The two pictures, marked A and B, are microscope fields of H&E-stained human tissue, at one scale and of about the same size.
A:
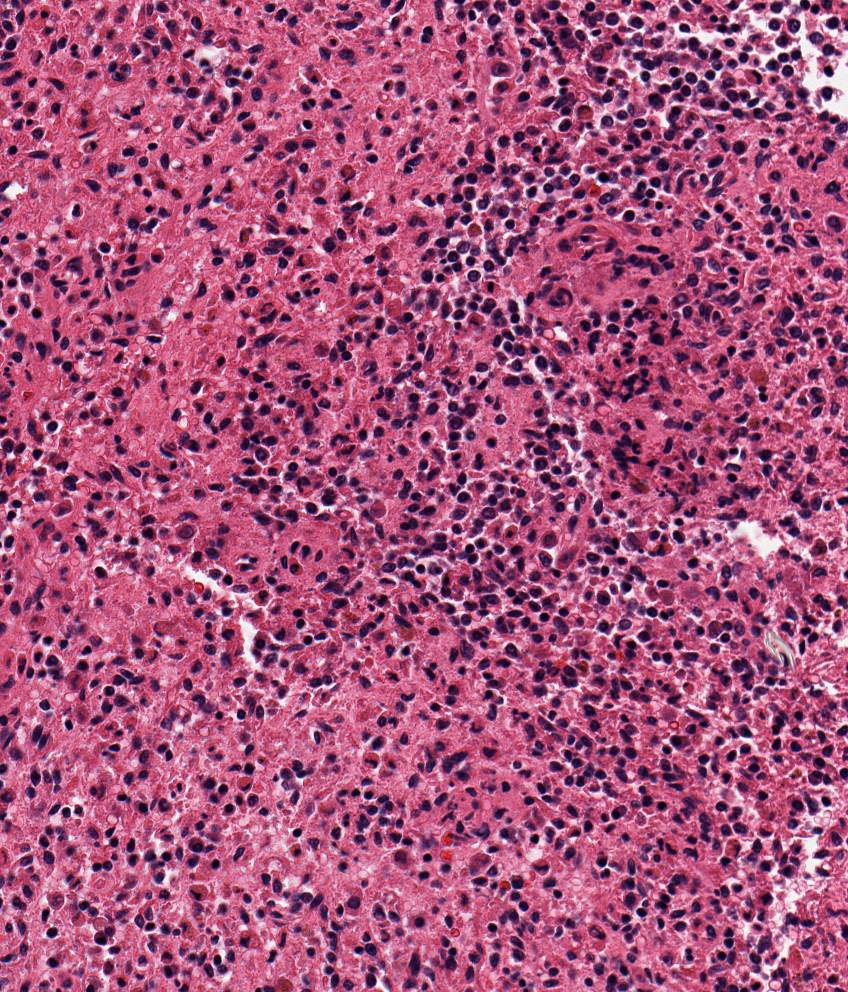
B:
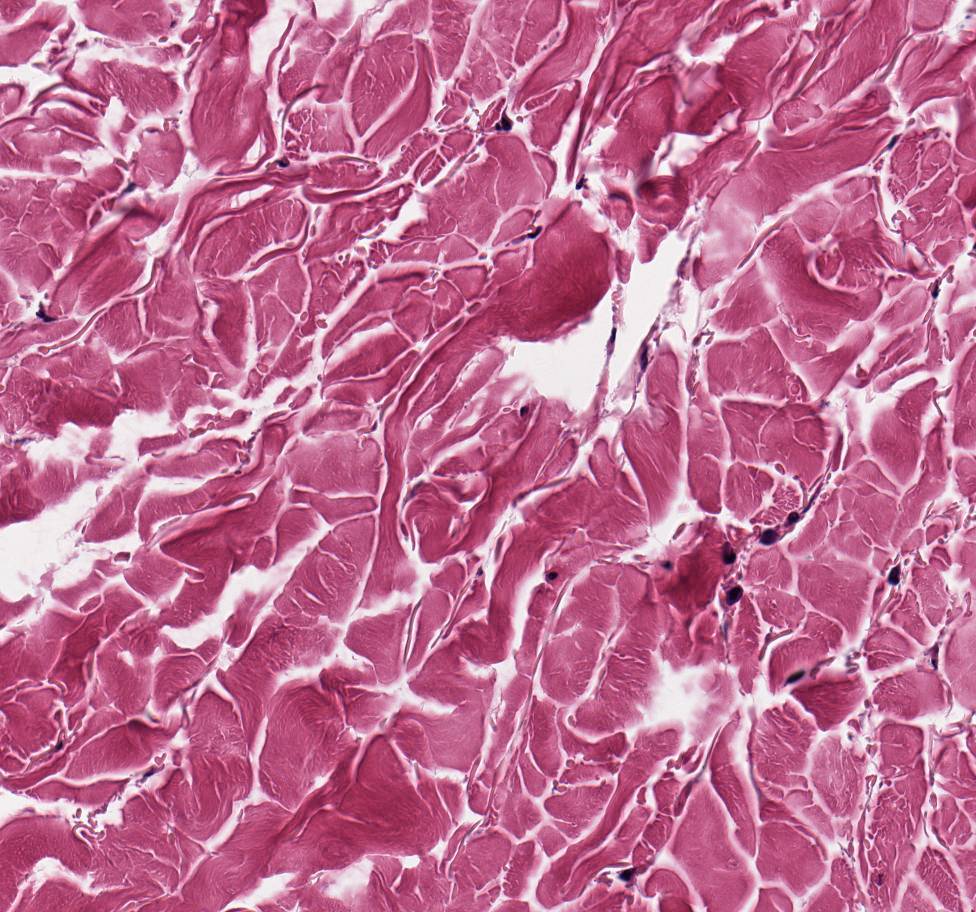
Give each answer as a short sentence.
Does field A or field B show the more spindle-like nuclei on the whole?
On the whole the nuclei of field B are more drawn out than those of field A.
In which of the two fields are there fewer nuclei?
Fewer nuclei lie in field B than in field A.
